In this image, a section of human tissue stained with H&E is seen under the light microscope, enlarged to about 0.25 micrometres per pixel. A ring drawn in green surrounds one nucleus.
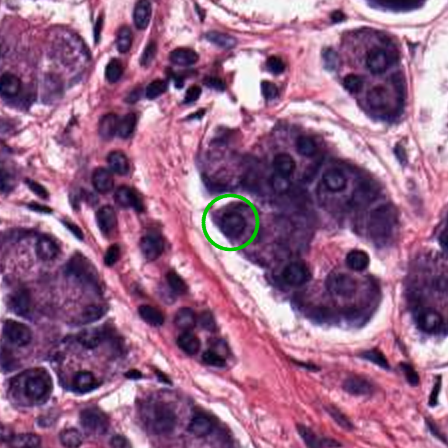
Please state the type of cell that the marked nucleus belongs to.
pancreatic acinar cell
